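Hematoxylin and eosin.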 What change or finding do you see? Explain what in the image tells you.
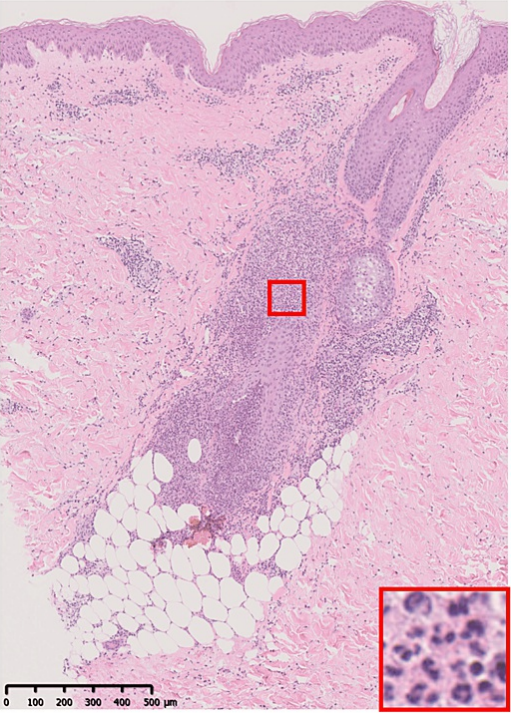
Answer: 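A dense band of dark purple nucleated cells surrounds a hair follicle running down through the dermis. Smaller clusters of dark cells lie around vessels in the upper dermis. The infiltrate reaches down to the fat at the base of the dermis. The answer: dense perifollicular and perivascular inflammatory cell infiltrate.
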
